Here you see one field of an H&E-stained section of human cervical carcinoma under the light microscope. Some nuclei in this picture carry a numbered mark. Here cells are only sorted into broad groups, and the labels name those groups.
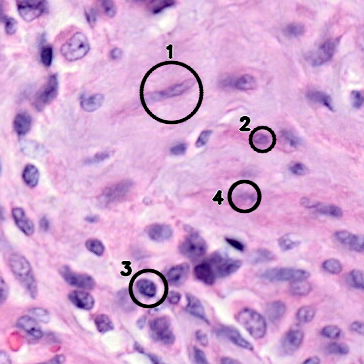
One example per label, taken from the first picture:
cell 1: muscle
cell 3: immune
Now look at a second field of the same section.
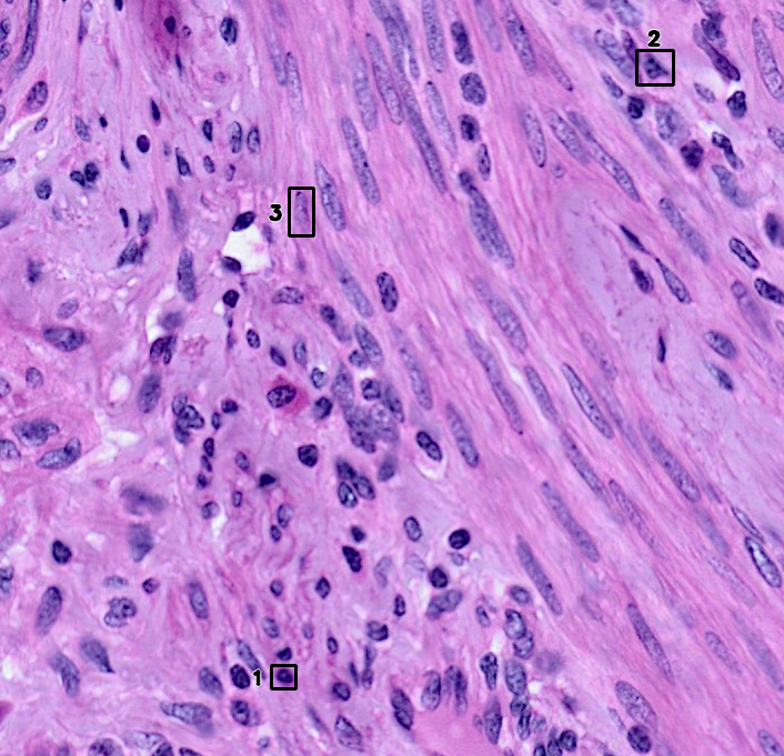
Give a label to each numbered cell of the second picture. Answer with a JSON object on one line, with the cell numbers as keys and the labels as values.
{"1": "muscle", "2": "immune", "3": "muscle"}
